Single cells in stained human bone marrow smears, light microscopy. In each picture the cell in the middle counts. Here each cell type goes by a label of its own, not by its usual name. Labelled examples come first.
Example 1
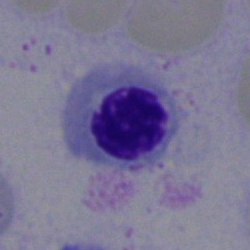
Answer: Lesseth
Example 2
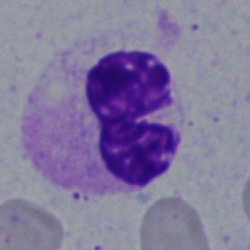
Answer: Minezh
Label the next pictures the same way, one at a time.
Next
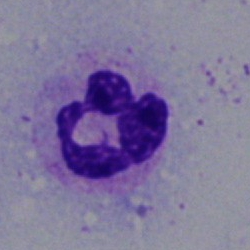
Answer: Minezh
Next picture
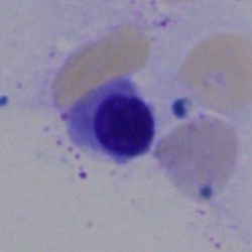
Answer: Lesseth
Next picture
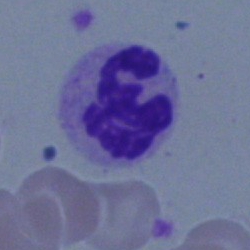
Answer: Minezh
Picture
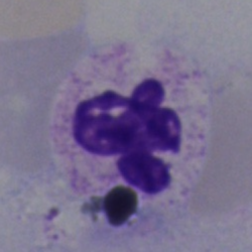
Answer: Minezh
